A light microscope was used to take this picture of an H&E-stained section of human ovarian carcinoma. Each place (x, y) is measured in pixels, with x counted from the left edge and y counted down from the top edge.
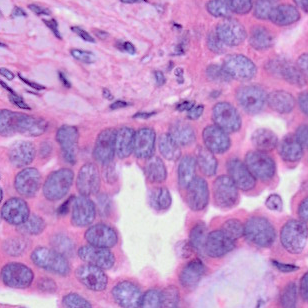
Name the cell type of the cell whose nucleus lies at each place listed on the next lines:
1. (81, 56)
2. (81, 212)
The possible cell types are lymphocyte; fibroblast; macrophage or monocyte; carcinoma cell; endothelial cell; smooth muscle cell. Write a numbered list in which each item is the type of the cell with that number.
1. fibroblast
2. carcinoma cell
